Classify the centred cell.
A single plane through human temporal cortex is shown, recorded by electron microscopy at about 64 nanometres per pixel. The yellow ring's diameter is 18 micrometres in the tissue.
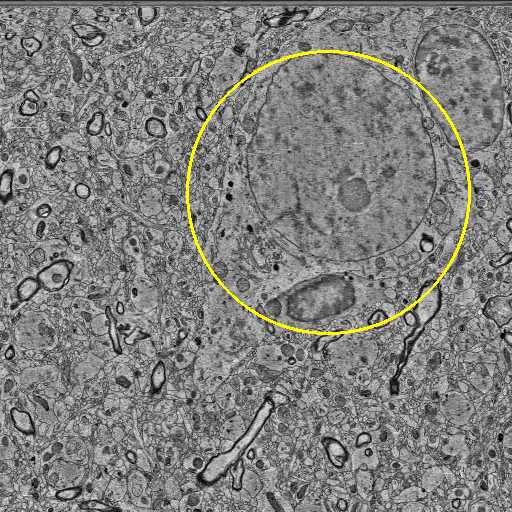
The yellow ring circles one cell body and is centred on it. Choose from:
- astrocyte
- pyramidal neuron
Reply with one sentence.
The ring is centred on a pyramidal neuron.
